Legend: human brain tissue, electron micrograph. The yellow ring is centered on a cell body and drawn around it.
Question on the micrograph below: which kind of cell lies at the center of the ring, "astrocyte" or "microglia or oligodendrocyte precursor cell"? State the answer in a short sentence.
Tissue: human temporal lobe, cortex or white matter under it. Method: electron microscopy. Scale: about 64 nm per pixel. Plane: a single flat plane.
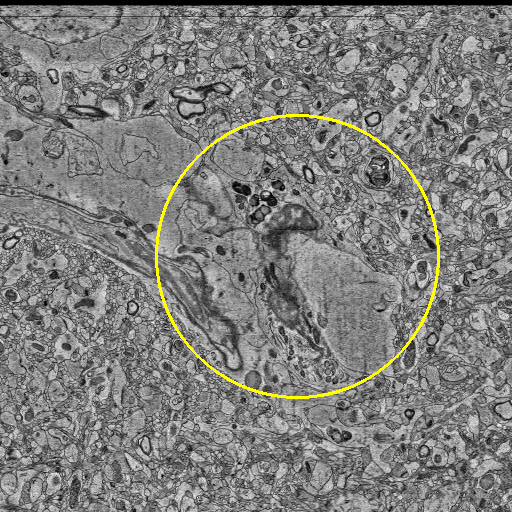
At the center of the ring lies a microglial cell or oligodendrocyte precursor cell.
